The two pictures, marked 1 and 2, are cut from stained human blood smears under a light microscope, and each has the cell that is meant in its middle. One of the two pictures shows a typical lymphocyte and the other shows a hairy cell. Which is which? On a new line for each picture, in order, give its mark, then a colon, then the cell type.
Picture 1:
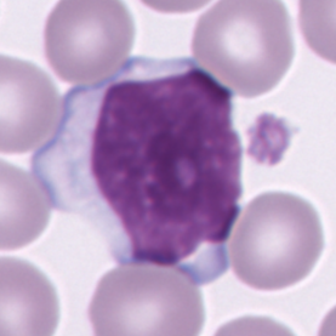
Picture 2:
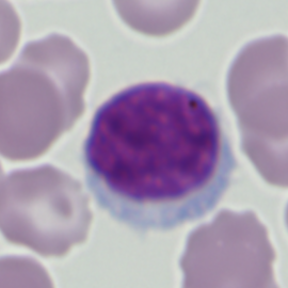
1: typical lymphocyte
2: hairy cell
